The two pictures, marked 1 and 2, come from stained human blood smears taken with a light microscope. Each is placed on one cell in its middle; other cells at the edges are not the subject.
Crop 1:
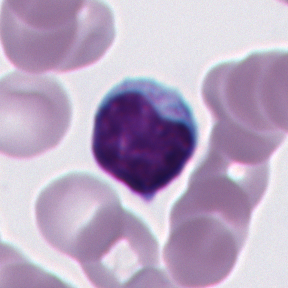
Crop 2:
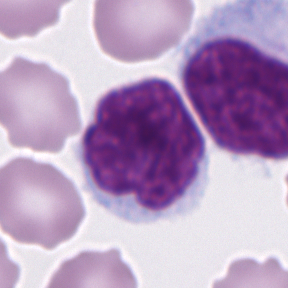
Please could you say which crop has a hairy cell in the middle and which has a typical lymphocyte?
1: typical lymphocyte
2: hairy cell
